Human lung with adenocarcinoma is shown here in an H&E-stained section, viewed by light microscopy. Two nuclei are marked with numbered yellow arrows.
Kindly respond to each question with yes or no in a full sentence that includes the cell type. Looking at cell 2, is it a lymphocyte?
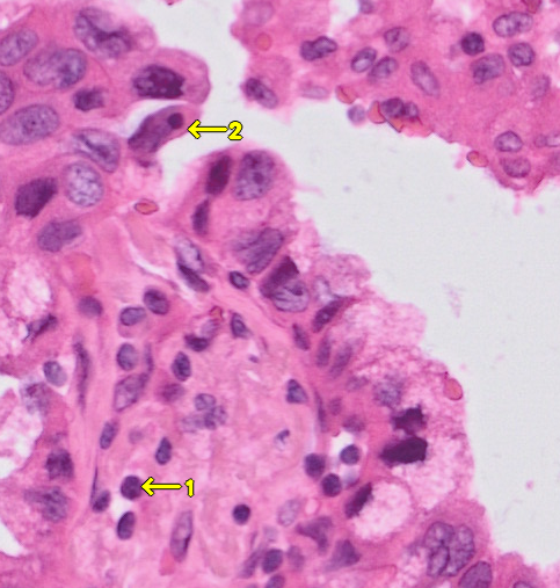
No, that is wrong: cell 2 is a carcinoma cell, and not a lymphocyte.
